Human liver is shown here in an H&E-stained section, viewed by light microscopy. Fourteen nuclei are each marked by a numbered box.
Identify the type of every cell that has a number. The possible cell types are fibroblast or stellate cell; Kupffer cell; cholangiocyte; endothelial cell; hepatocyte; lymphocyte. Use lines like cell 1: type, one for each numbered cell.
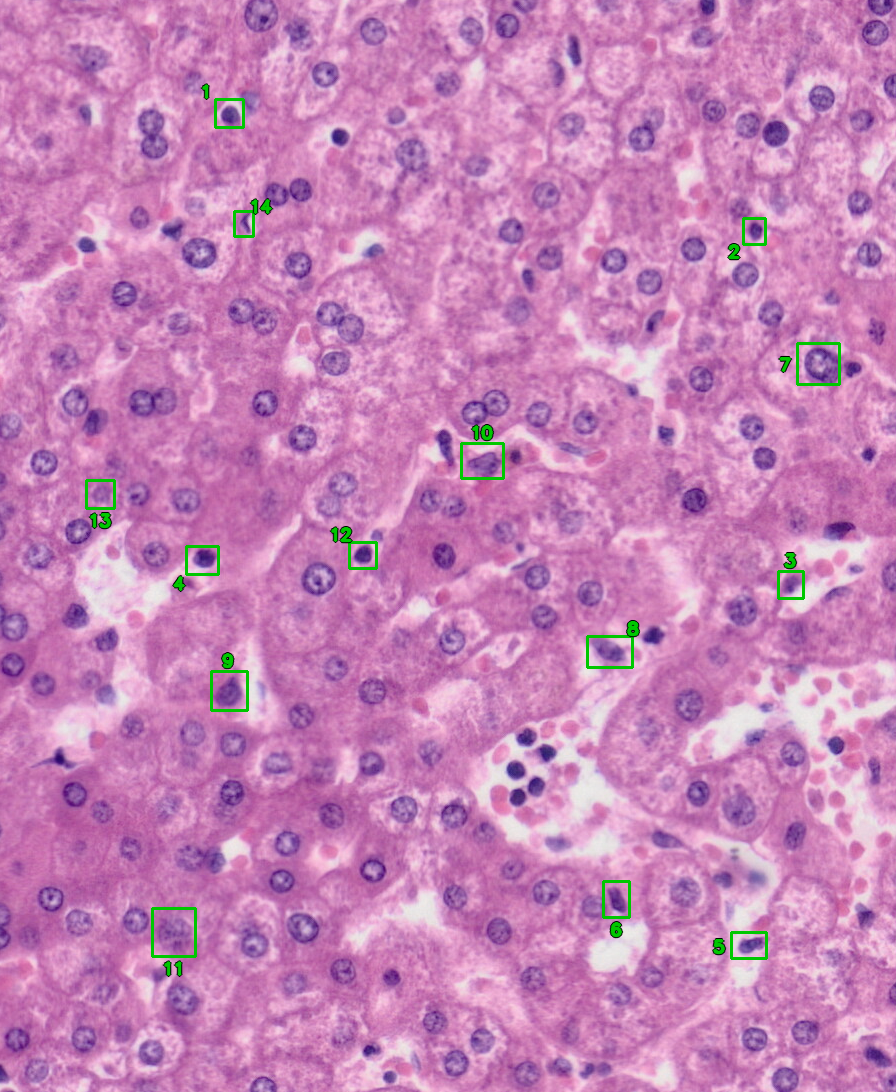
cell 1: lymphocyte
cell 2: lymphocyte
cell 3: Kupffer cell
cell 4: lymphocyte
cell 5: lymphocyte
cell 6: fibroblast or stellate cell
cell 7: hepatocyte
cell 8: Kupffer cell
cell 9: Kupffer cell
cell 10: Kupffer cell
cell 11: hepatocyte
cell 12: lymphocyte
cell 13: hepatocyte
cell 14: endothelial cell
